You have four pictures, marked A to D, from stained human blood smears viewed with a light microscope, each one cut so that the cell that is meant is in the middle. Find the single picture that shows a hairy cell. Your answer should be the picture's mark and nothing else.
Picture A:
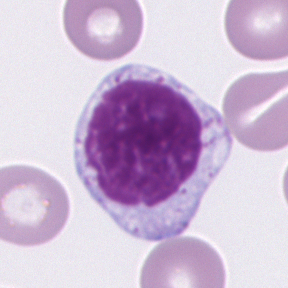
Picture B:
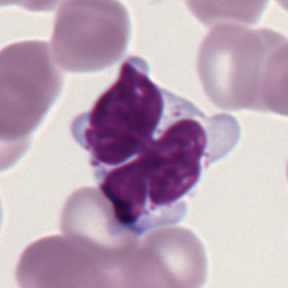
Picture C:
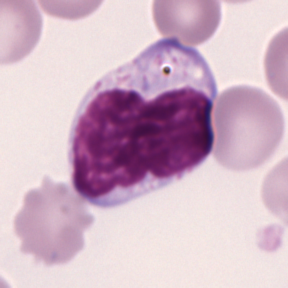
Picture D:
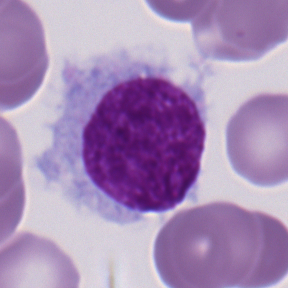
D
